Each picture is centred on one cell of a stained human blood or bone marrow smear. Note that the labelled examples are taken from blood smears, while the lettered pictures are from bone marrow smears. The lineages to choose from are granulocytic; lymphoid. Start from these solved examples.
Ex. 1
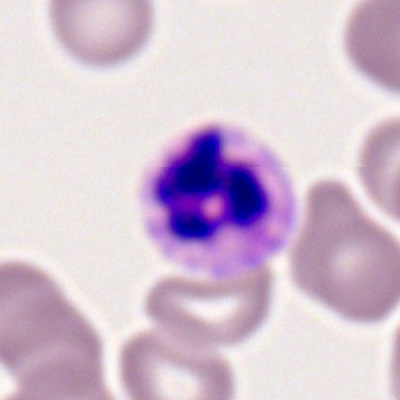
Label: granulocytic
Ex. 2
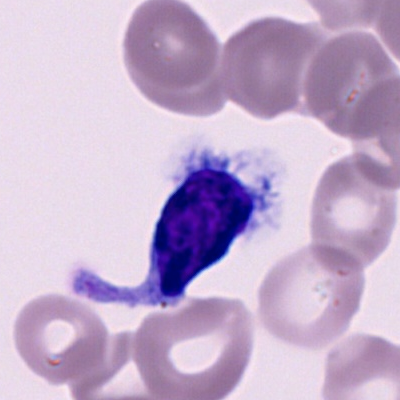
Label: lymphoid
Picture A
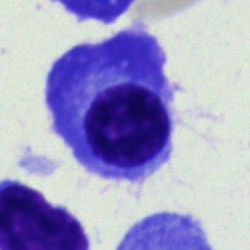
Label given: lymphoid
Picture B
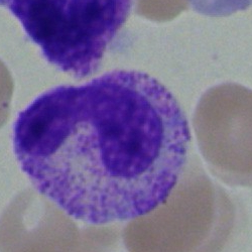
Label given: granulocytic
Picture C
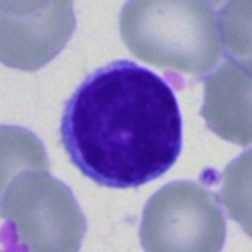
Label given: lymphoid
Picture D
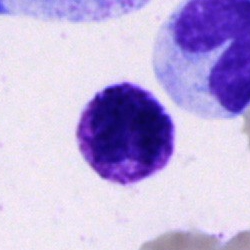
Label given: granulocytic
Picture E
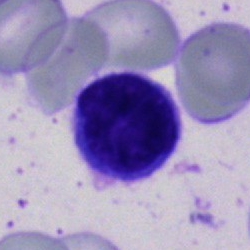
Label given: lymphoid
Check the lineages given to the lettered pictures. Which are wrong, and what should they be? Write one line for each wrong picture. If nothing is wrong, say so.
All correct.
